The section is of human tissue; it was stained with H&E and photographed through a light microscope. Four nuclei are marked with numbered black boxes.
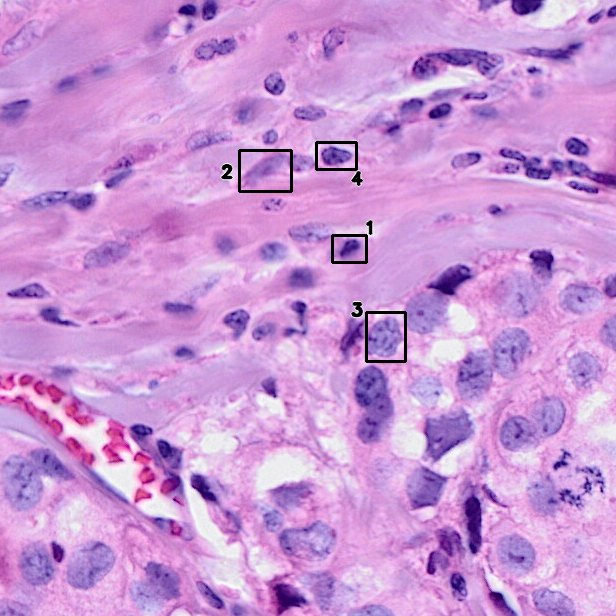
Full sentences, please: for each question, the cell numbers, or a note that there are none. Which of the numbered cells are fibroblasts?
Cell 2 is the single numbered cell that is a fibroblast.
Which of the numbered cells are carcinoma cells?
Only the cell numbered 3 is a carcinoma cell, and the others are something else.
